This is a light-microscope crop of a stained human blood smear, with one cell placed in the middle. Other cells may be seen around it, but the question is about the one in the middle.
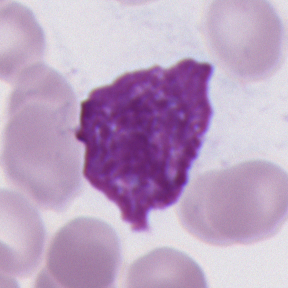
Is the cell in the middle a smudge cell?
yes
